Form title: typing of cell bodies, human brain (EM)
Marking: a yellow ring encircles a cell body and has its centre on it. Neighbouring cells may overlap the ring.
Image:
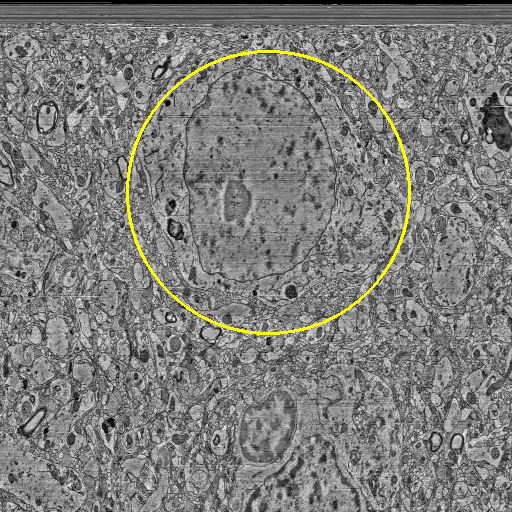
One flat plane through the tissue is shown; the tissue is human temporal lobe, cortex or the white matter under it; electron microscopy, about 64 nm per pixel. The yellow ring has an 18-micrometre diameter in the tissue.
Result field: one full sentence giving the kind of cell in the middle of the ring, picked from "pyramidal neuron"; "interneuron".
In the picture, the ring is centred on a pyramidal neuron, whose cell body it encircles.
